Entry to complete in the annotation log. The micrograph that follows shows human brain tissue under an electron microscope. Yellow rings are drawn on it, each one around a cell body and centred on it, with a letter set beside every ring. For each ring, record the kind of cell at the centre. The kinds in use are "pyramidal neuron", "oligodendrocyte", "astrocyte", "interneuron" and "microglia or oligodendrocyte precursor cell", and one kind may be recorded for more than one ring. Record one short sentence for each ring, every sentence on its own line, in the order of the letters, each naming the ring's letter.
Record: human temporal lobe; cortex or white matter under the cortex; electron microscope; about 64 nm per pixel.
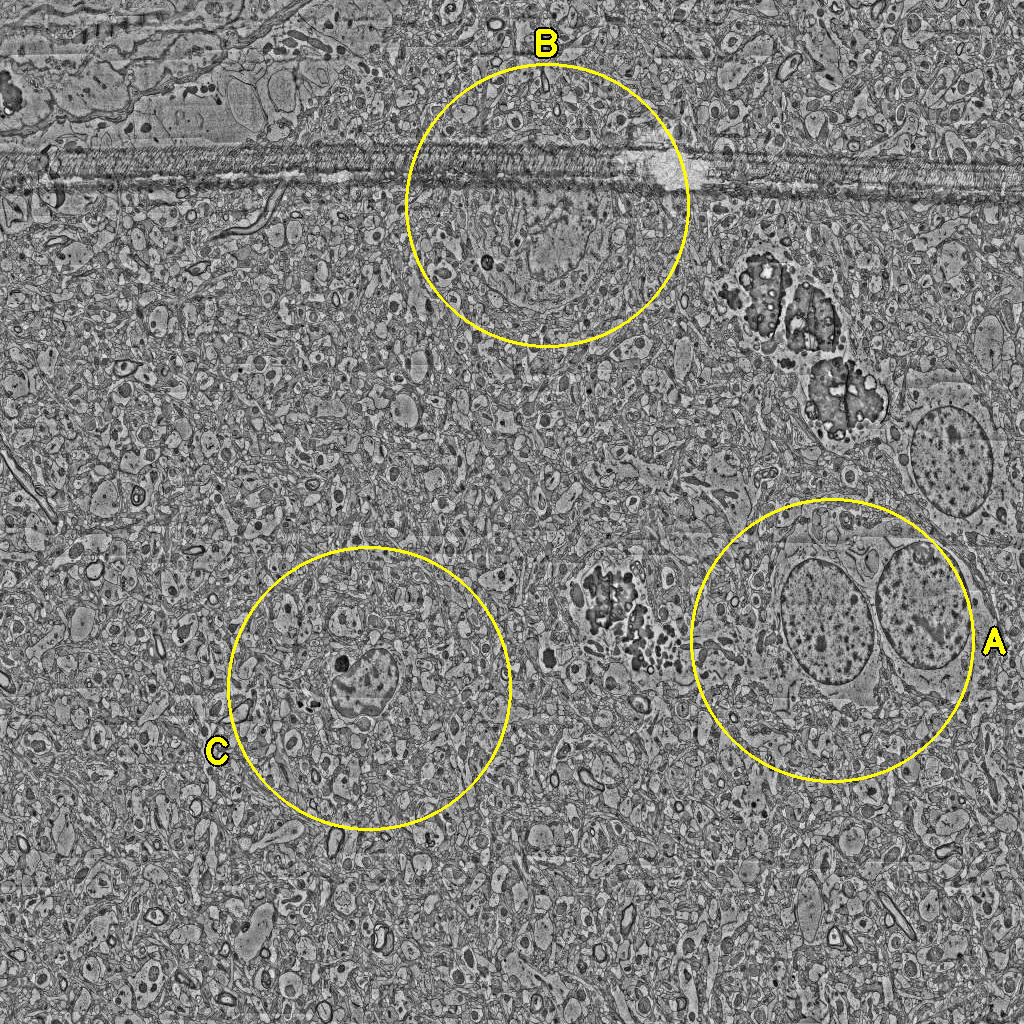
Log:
Ring A is placed around an astrocyte.
Ring B is placed around an interneuron.
Ring C is placed around a microglial cell or oligodendrocyte precursor cell.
